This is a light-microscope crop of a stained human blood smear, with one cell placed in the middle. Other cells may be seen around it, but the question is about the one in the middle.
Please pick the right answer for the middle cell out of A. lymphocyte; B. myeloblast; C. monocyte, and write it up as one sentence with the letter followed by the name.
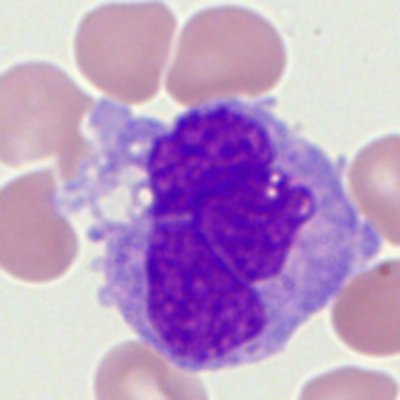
The correct identification, given in option C, is that the central cell is a monocyte.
